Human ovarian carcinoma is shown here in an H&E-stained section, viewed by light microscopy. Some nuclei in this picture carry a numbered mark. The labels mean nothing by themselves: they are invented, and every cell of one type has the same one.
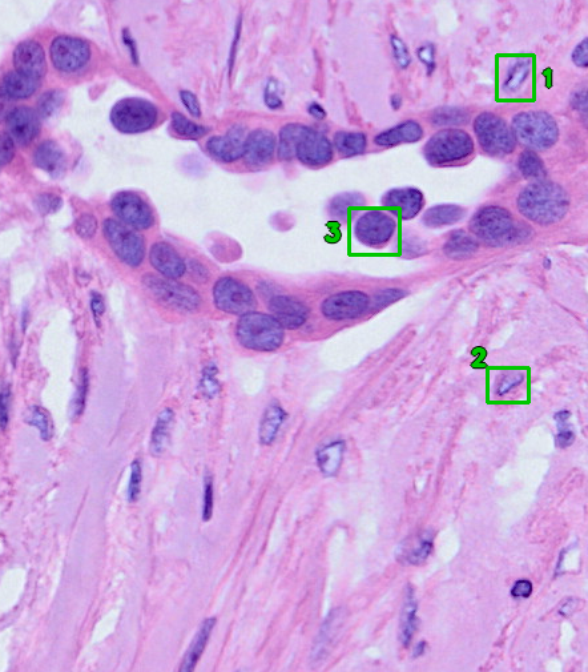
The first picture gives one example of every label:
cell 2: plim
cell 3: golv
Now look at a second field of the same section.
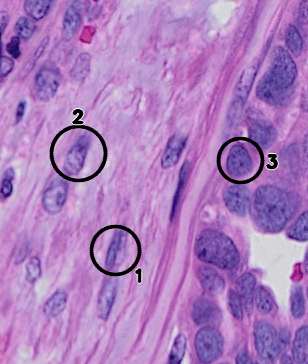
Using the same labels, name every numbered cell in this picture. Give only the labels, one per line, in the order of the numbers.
plim
plim
golv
